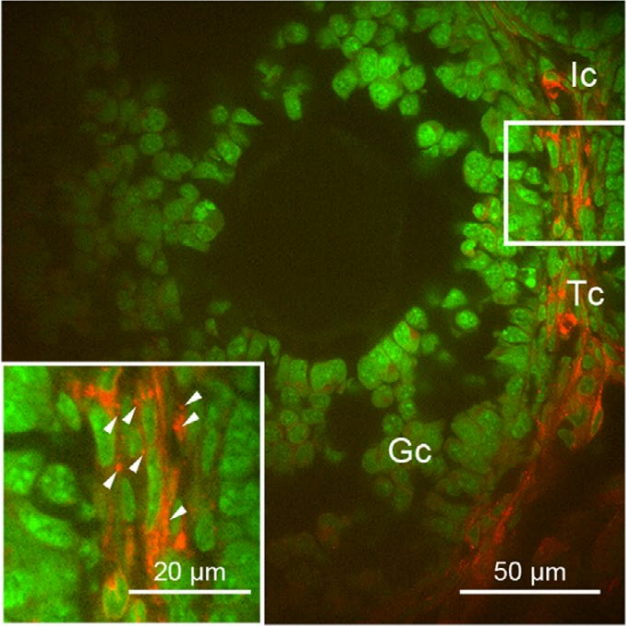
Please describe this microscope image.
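Nuclei glow green, and the granulosa cells show hardly any red. The elongated, spindle-shaped theca cells along the outer edge carry red streaks and small bright red dots. In the enlarged inset, arrowheads point to these small red puncta among the spindle-shaped cells.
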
